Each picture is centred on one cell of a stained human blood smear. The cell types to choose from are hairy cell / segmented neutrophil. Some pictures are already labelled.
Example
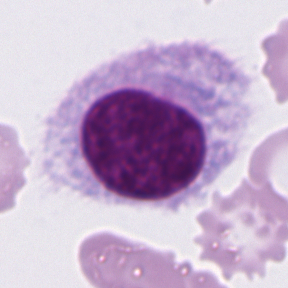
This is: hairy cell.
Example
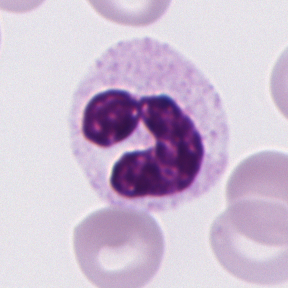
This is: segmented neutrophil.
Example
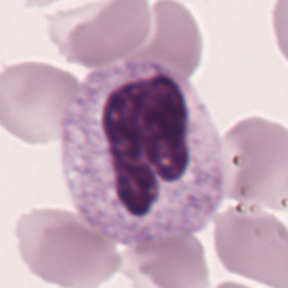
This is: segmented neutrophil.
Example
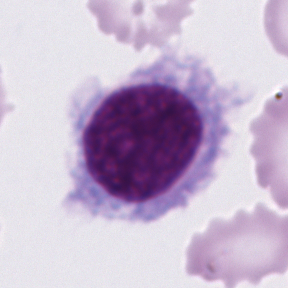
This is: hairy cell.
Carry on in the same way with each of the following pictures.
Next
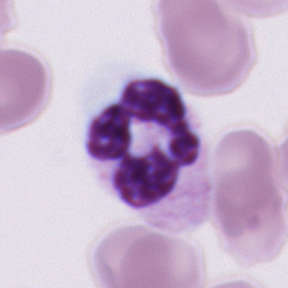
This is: segmented neutrophil.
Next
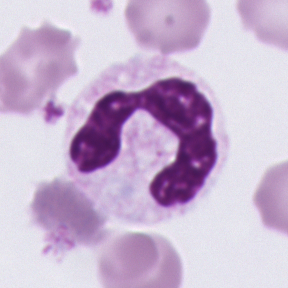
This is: segmented neutrophil.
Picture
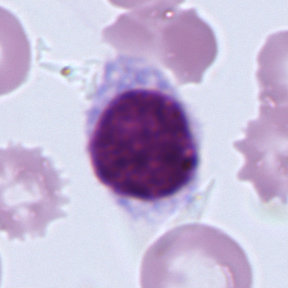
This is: hairy cell.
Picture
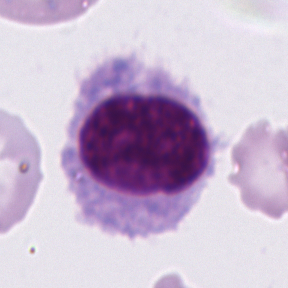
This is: hairy cell.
